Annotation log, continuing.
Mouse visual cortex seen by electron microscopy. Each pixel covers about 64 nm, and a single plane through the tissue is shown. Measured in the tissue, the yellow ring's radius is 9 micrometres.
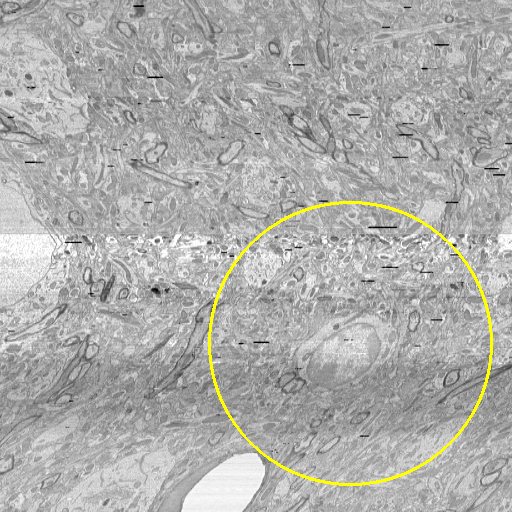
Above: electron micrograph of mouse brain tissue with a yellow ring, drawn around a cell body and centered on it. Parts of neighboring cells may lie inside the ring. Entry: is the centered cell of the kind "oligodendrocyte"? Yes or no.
Yes, the centered cell is of that kind.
